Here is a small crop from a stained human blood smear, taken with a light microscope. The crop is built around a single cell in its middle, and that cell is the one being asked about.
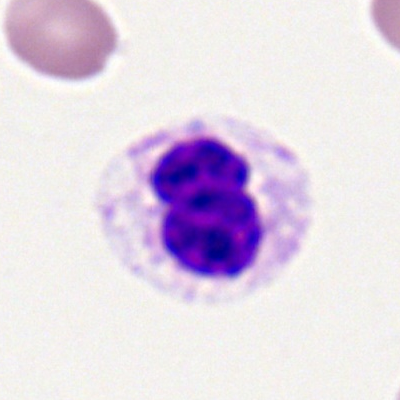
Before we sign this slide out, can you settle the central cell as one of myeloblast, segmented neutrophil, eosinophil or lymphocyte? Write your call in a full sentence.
This crop is built around a segmented neutrophil at its centre.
